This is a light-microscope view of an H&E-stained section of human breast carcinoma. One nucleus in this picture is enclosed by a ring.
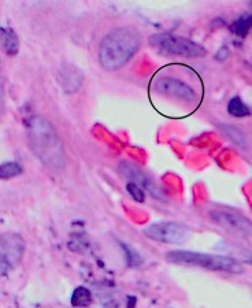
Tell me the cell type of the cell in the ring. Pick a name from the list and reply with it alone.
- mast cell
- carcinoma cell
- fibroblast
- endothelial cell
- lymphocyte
endothelial cell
